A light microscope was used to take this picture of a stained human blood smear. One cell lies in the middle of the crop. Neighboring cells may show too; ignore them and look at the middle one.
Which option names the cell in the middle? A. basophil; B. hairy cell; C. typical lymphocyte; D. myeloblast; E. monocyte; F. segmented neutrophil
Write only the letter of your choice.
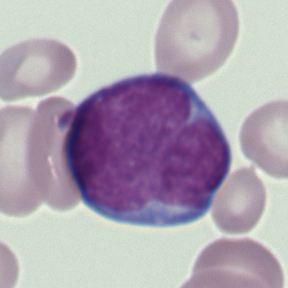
D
